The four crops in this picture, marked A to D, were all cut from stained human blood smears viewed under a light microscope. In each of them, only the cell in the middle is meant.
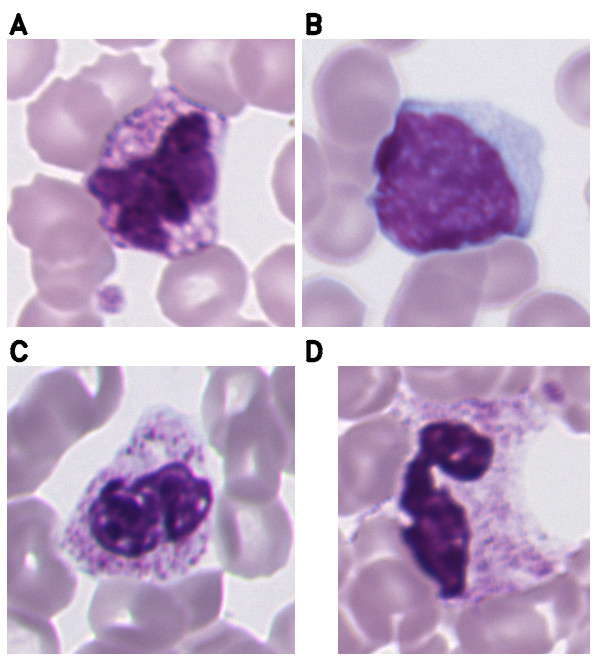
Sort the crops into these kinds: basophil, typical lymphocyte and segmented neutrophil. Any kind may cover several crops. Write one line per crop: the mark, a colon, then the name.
A: basophil
B: typical lymphocyte
C: segmented neutrophil
D: segmented neutrophil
